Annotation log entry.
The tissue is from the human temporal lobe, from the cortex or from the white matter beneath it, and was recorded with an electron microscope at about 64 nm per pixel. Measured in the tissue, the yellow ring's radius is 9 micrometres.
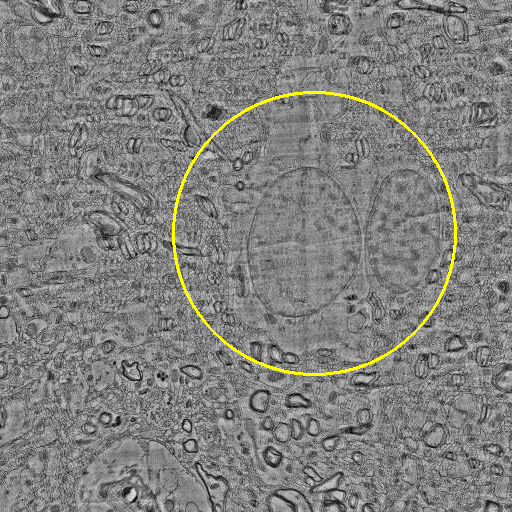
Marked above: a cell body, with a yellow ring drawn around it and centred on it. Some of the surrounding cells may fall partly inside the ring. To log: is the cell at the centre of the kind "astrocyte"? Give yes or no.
Yes, the cell at the centre is of that kind.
